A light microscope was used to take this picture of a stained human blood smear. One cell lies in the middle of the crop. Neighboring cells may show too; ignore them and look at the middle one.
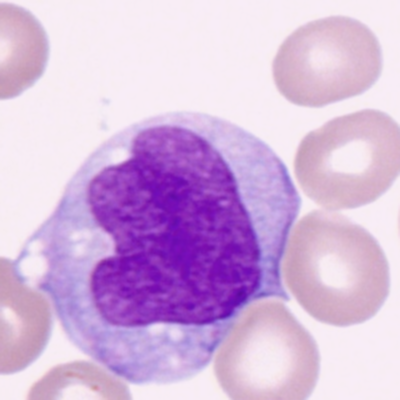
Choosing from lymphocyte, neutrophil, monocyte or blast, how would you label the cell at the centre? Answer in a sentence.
In the center of this field lies a monocyte.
